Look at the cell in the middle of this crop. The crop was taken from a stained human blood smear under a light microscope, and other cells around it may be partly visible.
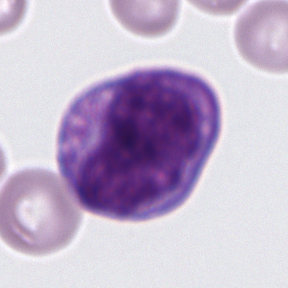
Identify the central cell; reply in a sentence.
The crop centres on a single cell, and that cell is an atypical promyelocyte.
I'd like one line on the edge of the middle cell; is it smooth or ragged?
If you check the edge, you will find it smooth without projections.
